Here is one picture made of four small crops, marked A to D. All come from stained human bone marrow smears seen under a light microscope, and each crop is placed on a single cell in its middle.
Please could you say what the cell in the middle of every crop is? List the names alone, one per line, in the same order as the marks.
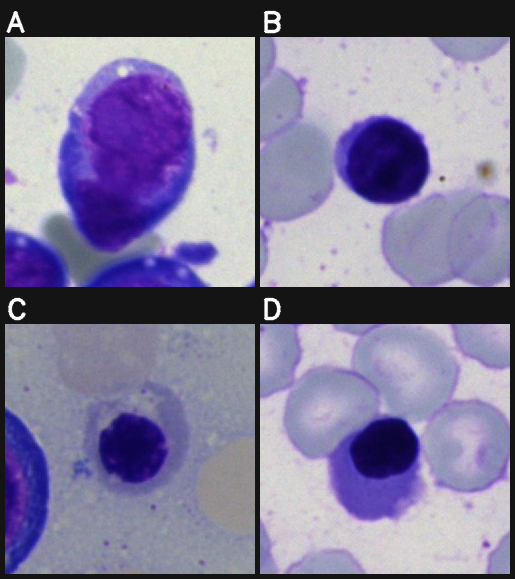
blast
lymphocyte
erythroblast
erythroblast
